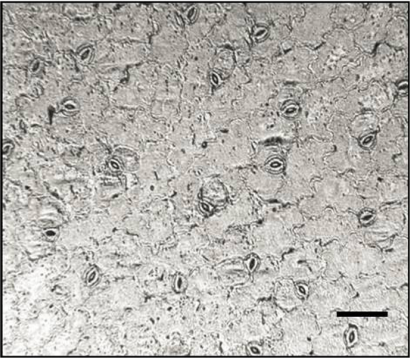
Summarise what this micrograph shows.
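This is a surface view of the leaf epidermis, with stomata scattered among pavement cells. The pavement cells have thin, wavy, interlocking walls that form a jigsaw-like pattern. The stomata show as small oval units, each made of two kidney-shaped guard cells around a narrow central pore. They are spread fairly evenly over the field and are not grouped into rows or clusters. The image is in shades of gray and has no colored stain.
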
